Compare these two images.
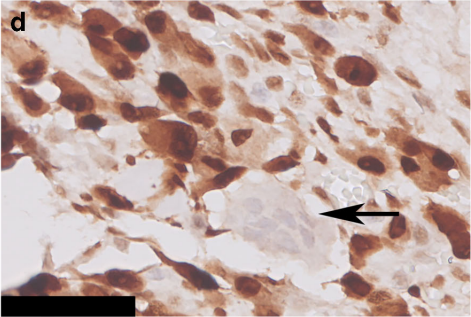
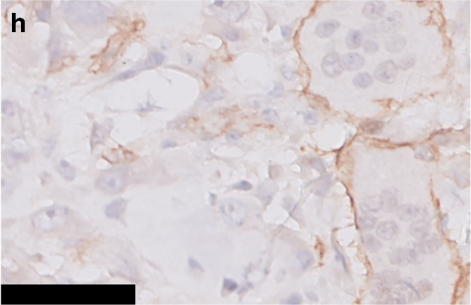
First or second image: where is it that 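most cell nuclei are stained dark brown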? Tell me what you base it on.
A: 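First image: most cells have strongly brown nuclei. Second image: nuclei are pale blue, with only faint brown lines between cells.
The first image.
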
